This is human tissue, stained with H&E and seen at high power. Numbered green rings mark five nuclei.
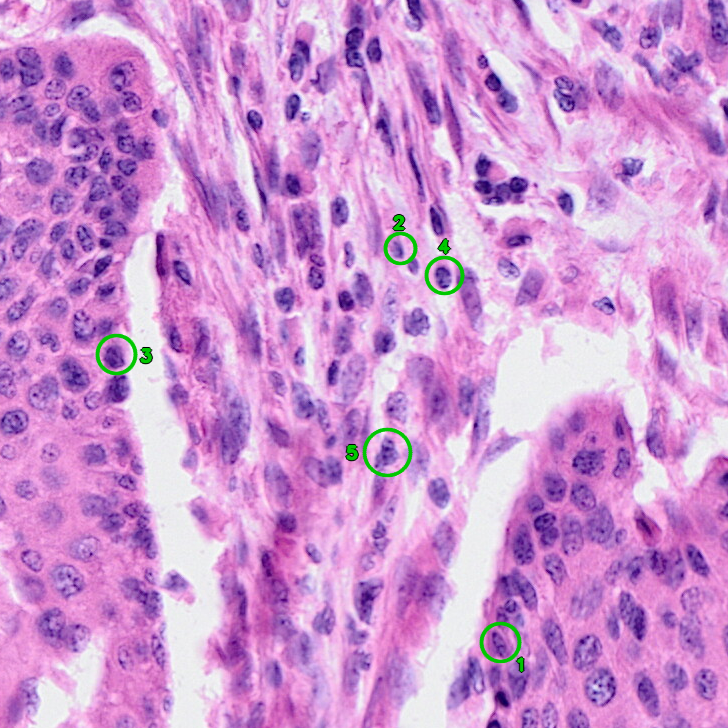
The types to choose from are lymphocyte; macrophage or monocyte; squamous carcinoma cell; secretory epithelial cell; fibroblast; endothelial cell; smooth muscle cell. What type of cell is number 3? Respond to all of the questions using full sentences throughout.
The cell that bears the number 3 is a squamous carcinoma cell.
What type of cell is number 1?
The cell identified by number 1 is a squamous carcinoma cell.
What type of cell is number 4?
Here, the cell given the number 4 is a lymphocyte.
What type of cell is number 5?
In the tissue shown, cell 5 is a lymphocyte.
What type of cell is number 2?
The nucleus labeled 2 belongs to a lymphocyte.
